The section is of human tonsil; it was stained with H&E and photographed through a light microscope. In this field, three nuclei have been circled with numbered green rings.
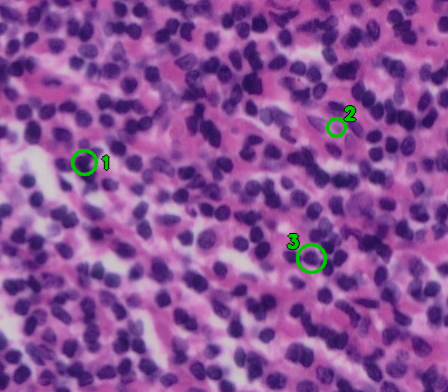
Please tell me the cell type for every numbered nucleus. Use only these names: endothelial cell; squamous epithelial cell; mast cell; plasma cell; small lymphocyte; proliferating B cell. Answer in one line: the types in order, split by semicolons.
small lymphocyte; endothelial cell; small lymphocyte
